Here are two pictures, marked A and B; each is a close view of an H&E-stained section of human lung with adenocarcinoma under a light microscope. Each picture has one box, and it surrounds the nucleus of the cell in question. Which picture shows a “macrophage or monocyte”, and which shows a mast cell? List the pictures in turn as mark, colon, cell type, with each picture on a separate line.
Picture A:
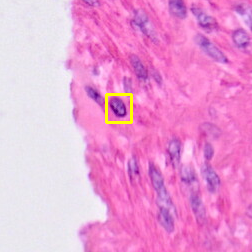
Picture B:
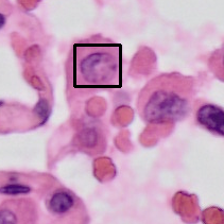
A: mast cell
B: macrophage or monocyte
